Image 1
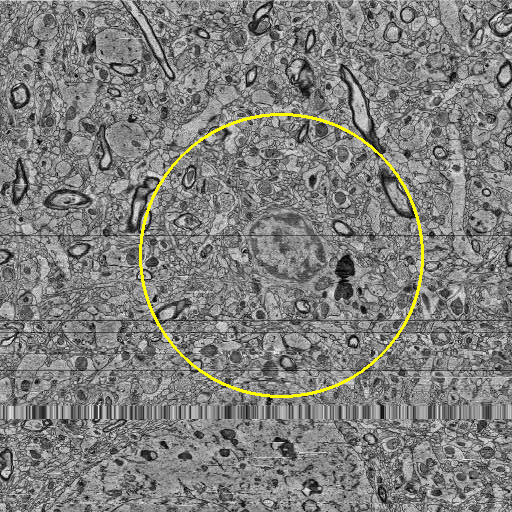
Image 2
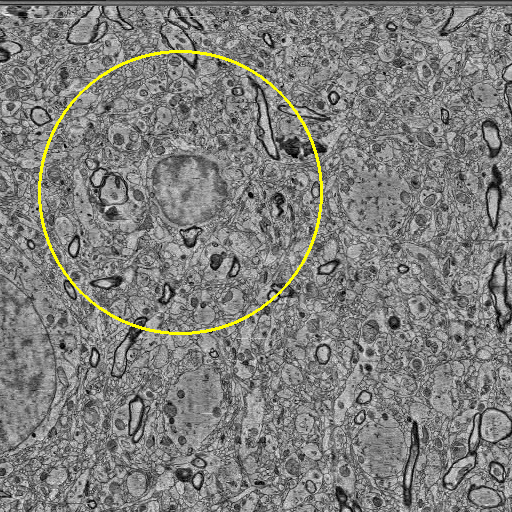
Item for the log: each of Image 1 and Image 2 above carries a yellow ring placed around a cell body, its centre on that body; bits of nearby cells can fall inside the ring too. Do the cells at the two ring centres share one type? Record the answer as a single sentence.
Yes, the two cells at the ring centres in Image 1 and Image 2 share one type.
